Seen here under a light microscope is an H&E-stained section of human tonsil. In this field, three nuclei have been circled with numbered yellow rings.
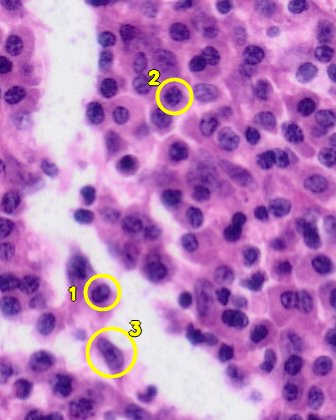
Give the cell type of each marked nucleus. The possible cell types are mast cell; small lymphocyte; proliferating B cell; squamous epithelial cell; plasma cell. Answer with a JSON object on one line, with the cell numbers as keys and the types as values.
{"1": "plasma cell", "2": "plasma cell", "3": "squamous epithelial cell"}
